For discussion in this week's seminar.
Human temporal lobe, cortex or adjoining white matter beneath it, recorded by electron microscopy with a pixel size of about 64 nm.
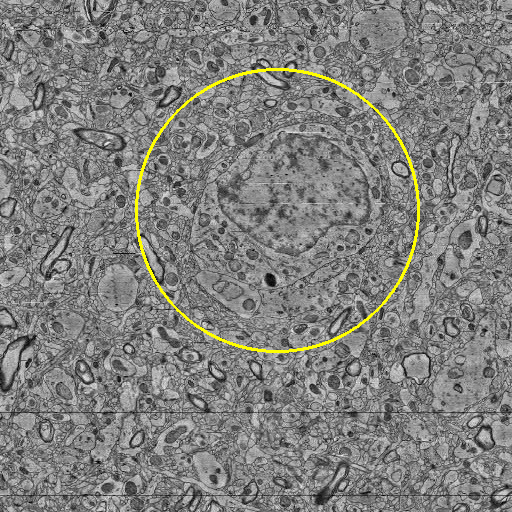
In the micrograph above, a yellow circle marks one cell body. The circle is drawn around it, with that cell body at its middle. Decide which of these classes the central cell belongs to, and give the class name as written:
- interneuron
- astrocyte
interneuron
